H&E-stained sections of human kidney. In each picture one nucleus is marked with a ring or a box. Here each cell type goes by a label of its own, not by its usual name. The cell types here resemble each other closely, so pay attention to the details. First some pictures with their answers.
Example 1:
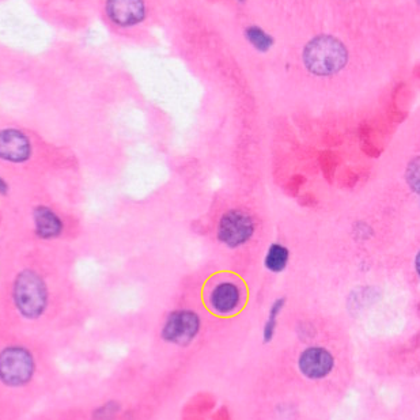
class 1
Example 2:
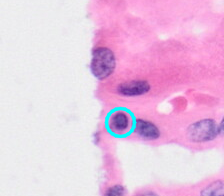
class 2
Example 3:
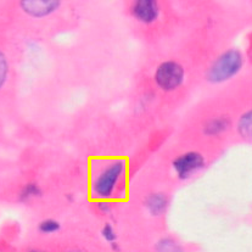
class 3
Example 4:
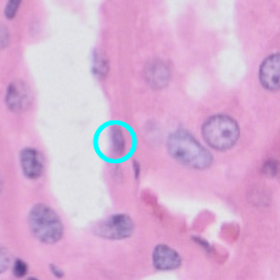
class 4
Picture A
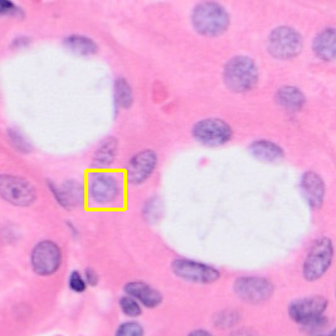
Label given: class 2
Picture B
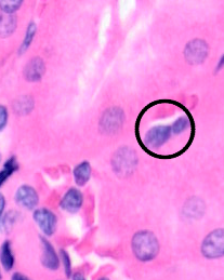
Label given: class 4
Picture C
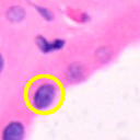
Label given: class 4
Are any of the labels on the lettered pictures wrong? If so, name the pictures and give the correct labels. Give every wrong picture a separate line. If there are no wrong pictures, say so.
B: not class 4 but class 3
